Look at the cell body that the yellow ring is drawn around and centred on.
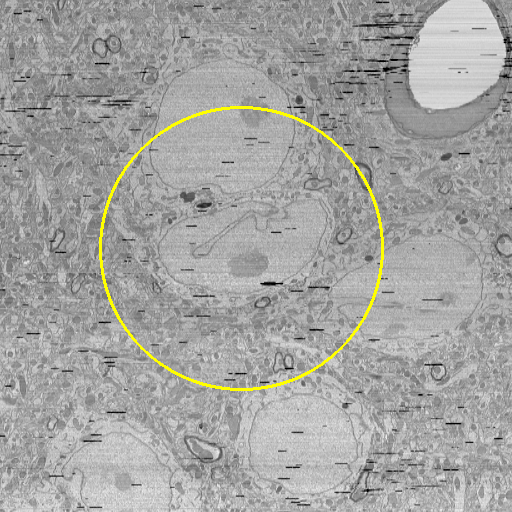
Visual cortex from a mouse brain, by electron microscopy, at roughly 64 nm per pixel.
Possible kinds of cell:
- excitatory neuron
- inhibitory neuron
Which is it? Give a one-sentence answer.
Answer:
The centred cell body is that of an inhibitory neuron.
